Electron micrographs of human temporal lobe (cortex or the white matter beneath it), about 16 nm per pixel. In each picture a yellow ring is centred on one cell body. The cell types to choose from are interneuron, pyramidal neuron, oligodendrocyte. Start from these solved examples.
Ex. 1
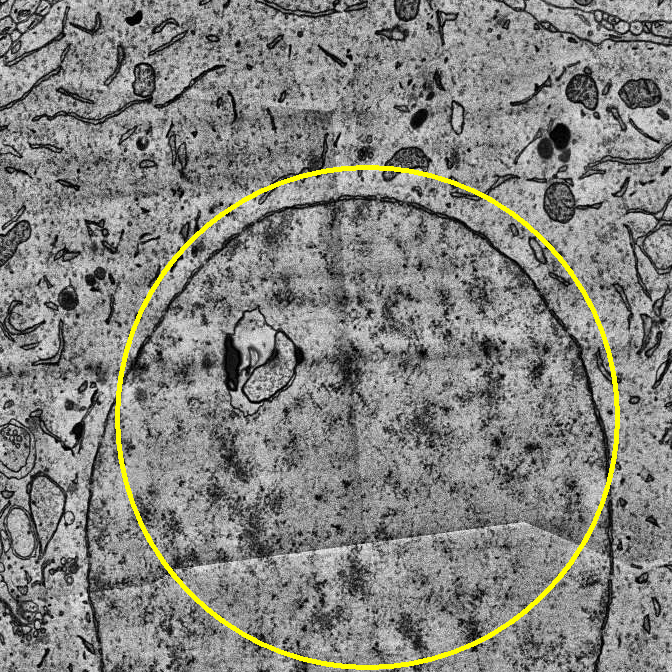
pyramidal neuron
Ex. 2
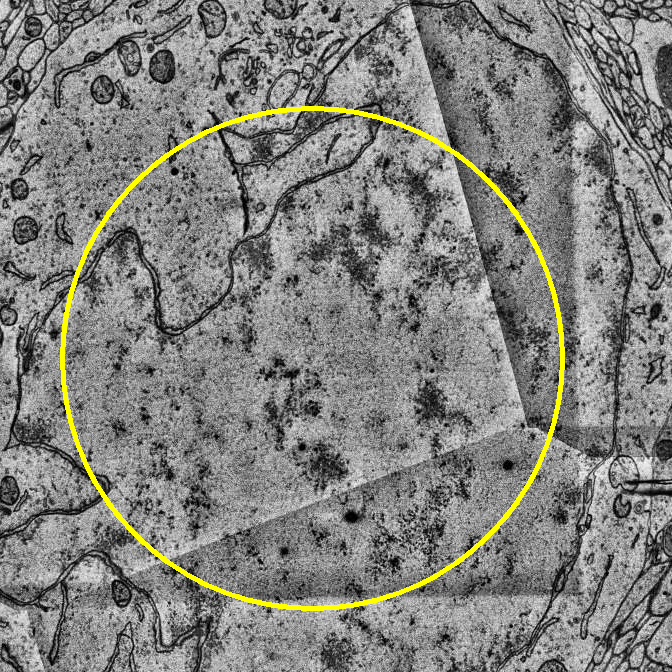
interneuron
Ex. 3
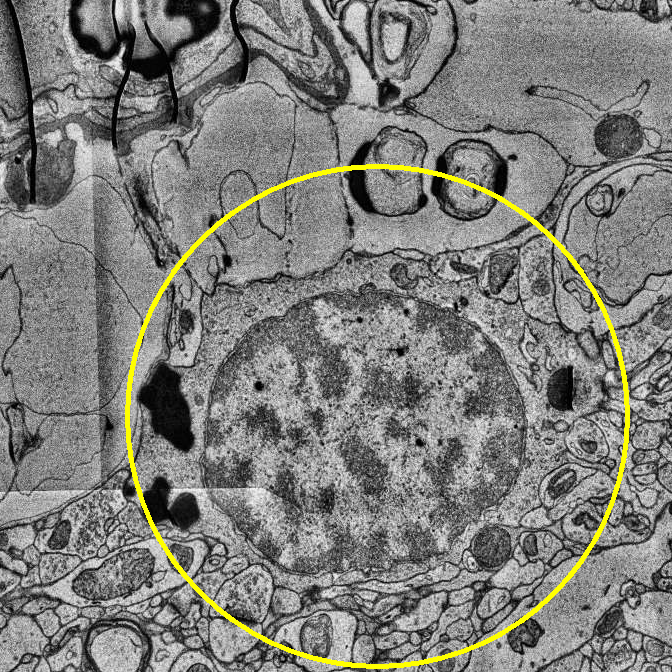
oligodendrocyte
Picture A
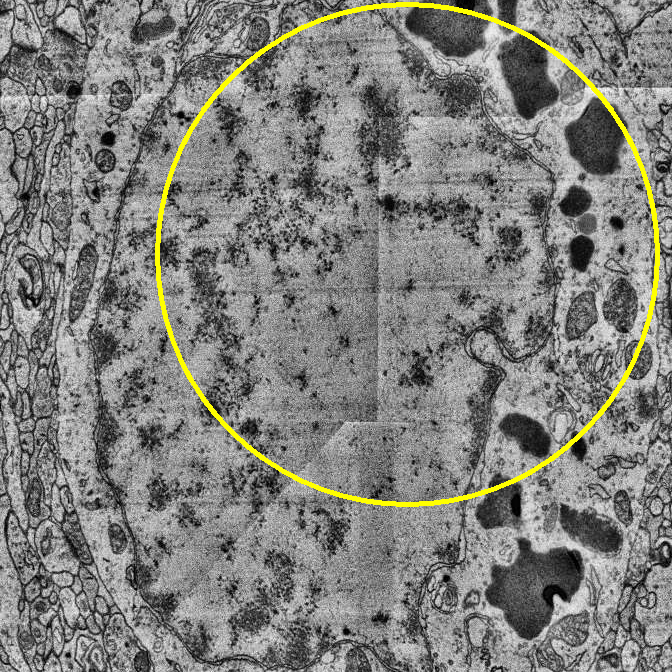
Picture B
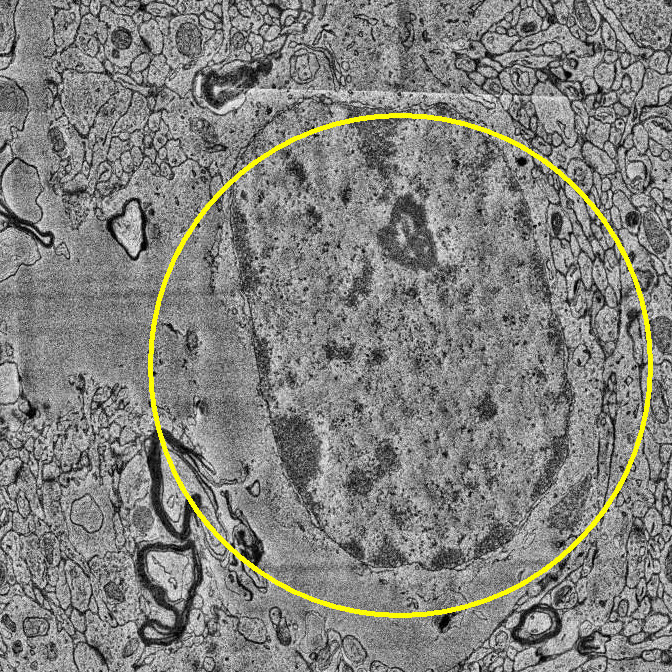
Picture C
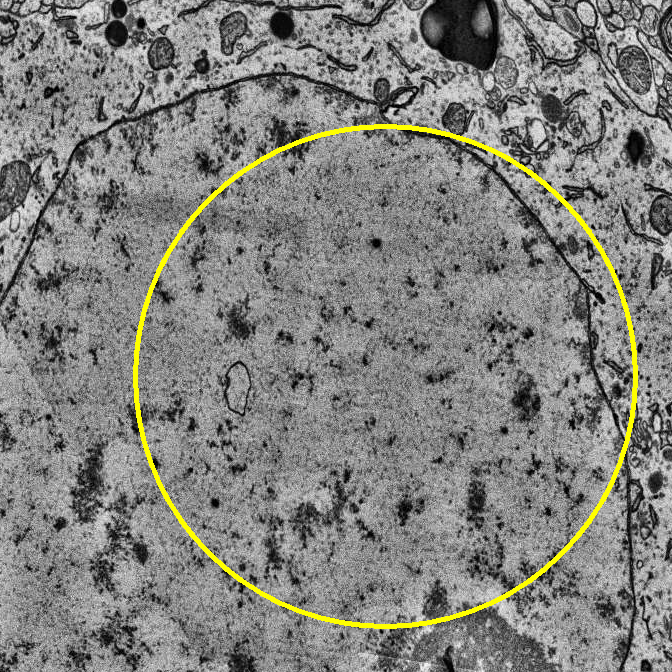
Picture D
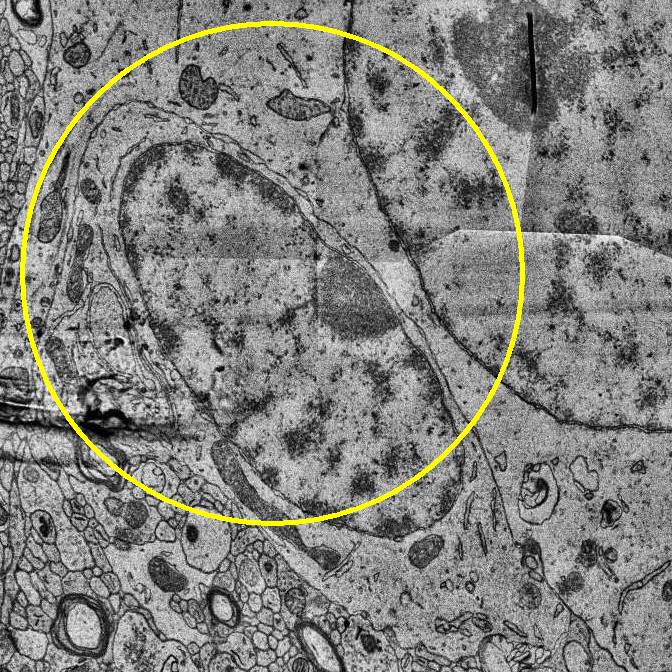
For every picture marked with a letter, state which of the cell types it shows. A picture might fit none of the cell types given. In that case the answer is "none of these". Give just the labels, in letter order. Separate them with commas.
interneuron, none of these, pyramidal neuron, none of these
